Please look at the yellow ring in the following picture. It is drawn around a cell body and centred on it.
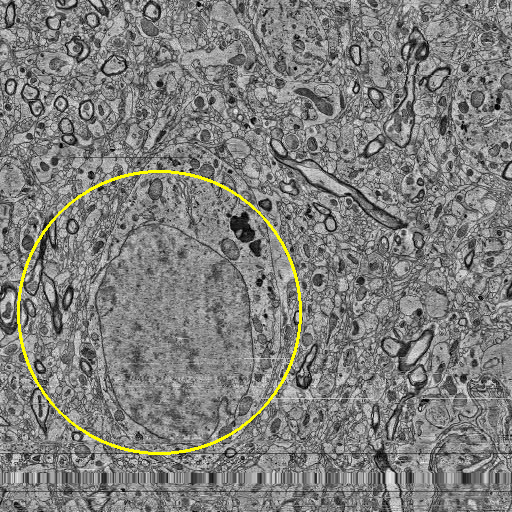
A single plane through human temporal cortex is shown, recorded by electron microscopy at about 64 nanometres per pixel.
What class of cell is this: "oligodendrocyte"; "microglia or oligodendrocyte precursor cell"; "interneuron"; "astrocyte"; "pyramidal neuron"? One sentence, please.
The ring surrounds the cell body of a pyramidal neuron.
